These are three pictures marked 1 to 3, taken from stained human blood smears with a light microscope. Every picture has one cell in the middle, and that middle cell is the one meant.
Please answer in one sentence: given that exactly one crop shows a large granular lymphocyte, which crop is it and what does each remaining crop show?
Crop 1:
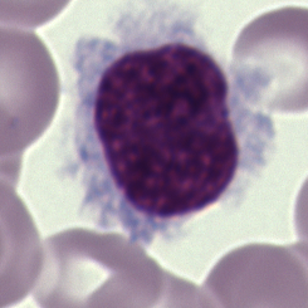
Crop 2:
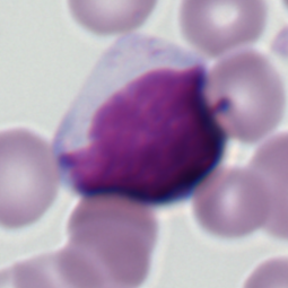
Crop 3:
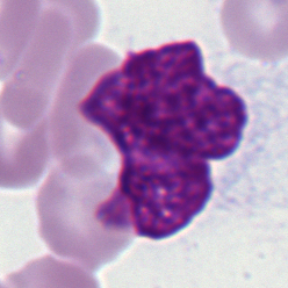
The central cell of crop 2 is identified as a large granular lymphocyte, while crop 1 is a hairy cell and crop 3 is a smudge cell.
